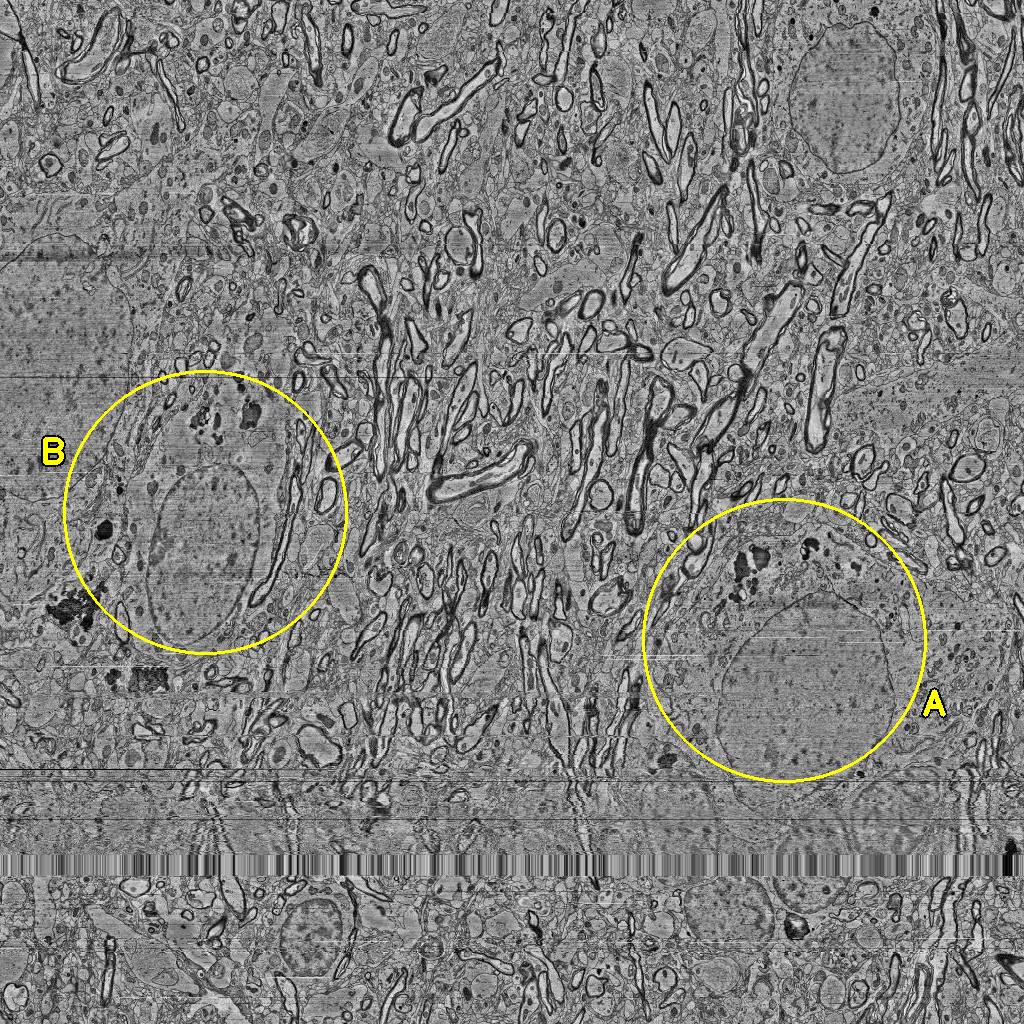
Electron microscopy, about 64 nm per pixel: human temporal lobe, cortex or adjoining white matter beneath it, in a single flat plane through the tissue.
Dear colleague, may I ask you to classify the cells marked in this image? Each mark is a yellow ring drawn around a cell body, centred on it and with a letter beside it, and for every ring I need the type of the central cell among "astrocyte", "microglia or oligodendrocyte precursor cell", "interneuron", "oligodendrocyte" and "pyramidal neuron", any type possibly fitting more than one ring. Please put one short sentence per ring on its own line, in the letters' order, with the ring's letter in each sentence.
Ring A contains a pyramidal neuron at its centre.
Ring B contains an astrocyte at its centre.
